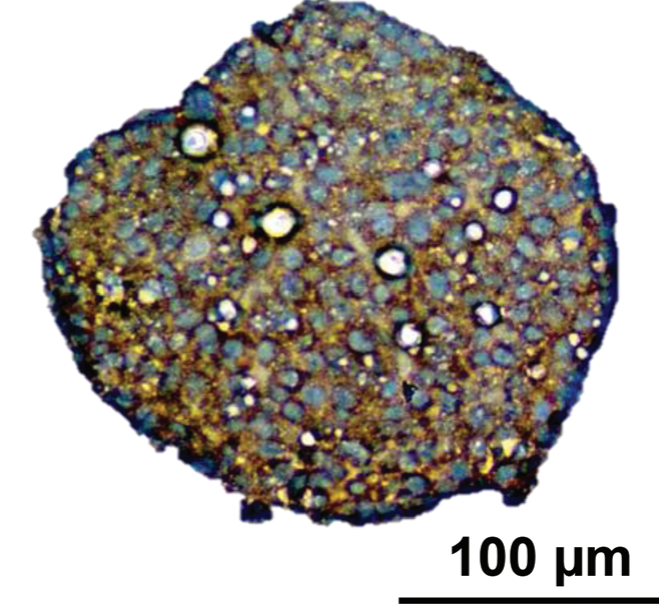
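This is a section through a spheroid, a compact, roughly round aggregate of densely packed cells with a sharp, darker outer edge. The cells are small and crowded, each marked by a round blue nucleus of fairly even size. Between the nuclei the cytoplasm takes up a granular brown stain that runs throughout the cell mass, from the rim to the centre. Scattered through the section are a few round, clear, refractile spaces of varying size. There is no organised layering or lumen; the cells form a solid mass.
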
